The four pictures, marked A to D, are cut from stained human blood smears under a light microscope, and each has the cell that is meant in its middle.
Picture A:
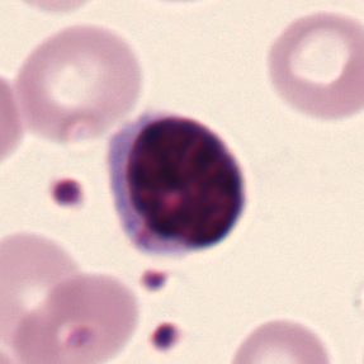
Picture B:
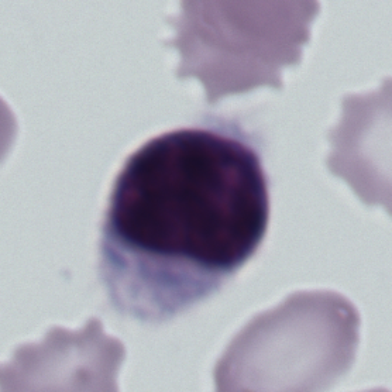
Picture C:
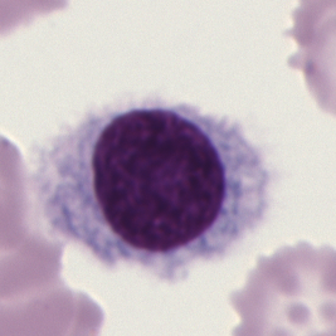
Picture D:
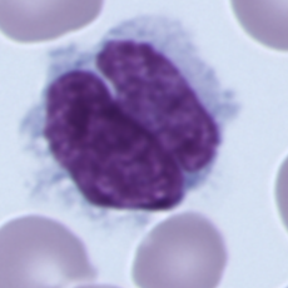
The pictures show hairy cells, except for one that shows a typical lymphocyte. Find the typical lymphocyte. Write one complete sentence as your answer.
Picture A shows the typical lymphocyte.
